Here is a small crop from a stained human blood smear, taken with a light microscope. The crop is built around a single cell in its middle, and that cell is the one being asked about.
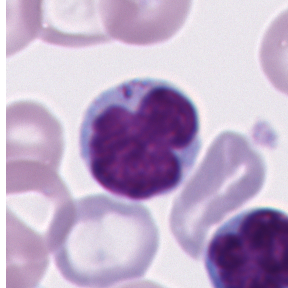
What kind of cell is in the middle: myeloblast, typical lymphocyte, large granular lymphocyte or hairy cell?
large granular lymphocyte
